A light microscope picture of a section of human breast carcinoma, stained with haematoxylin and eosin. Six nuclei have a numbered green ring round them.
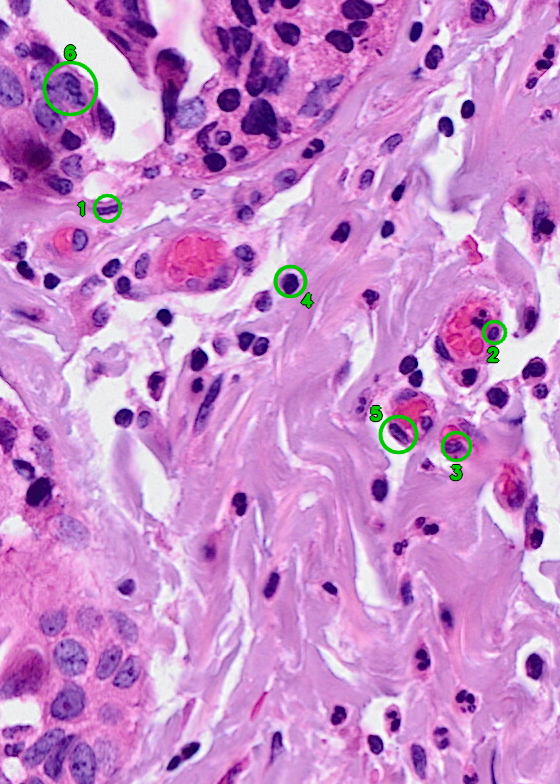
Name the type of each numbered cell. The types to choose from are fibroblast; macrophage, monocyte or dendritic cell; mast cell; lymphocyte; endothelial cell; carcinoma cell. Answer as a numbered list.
1. fibroblast
2. endothelial cell
3. endothelial cell
4. lymphocyte
5. endothelial cell
6. carcinoma cell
